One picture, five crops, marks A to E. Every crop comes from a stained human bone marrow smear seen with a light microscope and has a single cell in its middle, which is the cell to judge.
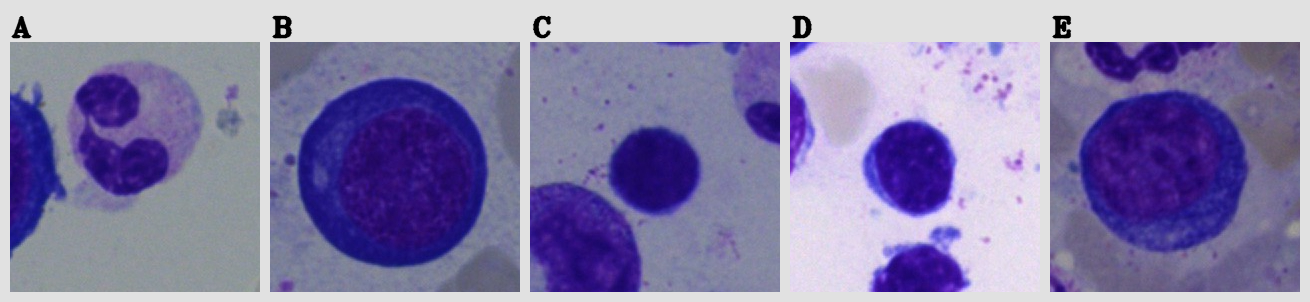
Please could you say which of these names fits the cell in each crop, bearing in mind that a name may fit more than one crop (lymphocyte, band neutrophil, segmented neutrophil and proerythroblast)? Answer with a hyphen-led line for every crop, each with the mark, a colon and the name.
- A: segmented neutrophil
- B: proerythroblast
- C: lymphocyte
- D: lymphocyte
- E: proerythroblast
